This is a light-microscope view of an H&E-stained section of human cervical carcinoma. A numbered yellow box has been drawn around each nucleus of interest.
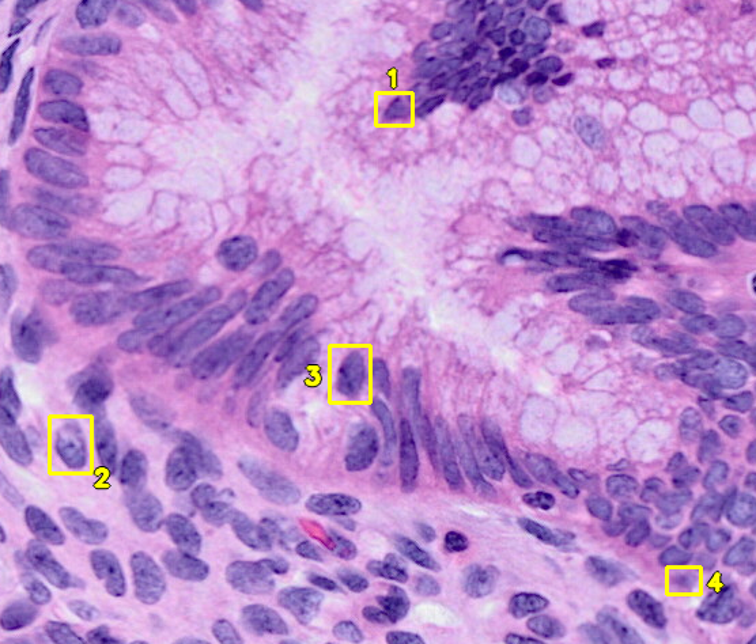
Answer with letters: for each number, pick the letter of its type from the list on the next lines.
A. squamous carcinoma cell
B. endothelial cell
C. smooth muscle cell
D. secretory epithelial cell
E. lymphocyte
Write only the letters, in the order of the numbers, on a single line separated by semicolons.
D; B; D; D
